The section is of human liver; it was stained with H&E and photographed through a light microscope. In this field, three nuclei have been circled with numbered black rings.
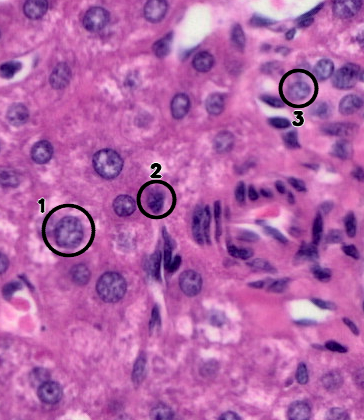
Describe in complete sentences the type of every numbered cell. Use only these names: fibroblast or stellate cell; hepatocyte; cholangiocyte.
Cell 1 is a hepatocyte, cell 2 is a fibroblast or stellate cell and cell 3 is a cholangiocyte.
